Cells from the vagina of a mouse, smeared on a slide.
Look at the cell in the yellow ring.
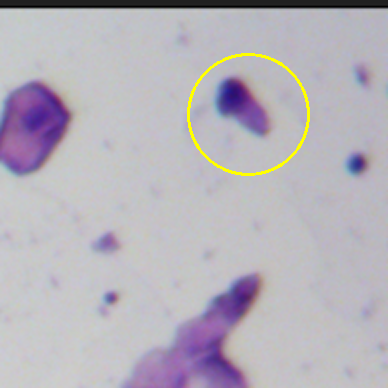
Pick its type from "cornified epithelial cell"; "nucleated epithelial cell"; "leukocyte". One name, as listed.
nucleated epithelial cell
